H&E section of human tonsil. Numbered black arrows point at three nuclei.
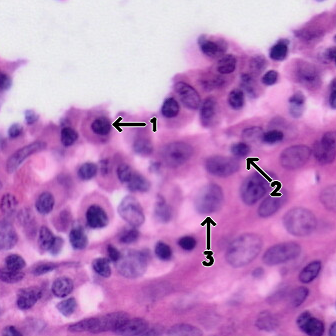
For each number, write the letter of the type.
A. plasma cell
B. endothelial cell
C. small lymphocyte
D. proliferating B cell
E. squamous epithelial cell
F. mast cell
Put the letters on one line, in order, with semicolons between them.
A; E; E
